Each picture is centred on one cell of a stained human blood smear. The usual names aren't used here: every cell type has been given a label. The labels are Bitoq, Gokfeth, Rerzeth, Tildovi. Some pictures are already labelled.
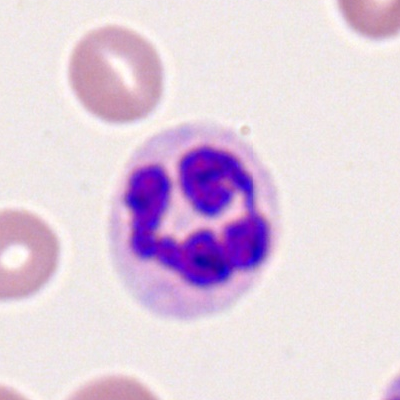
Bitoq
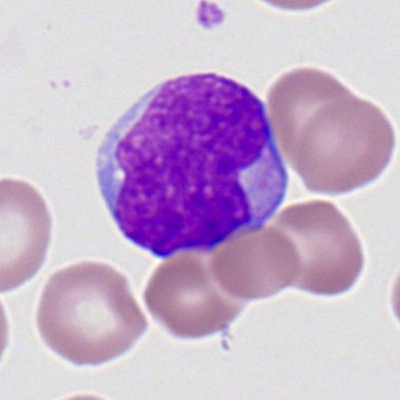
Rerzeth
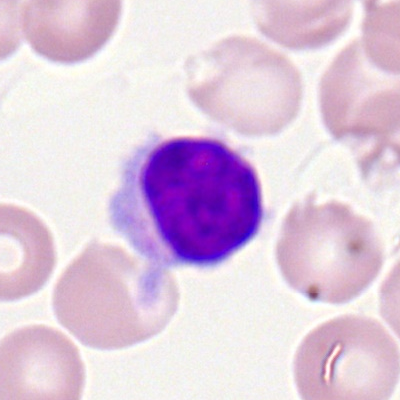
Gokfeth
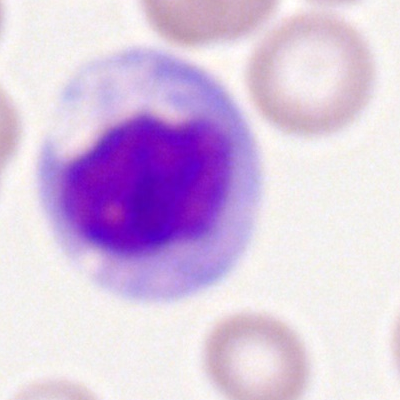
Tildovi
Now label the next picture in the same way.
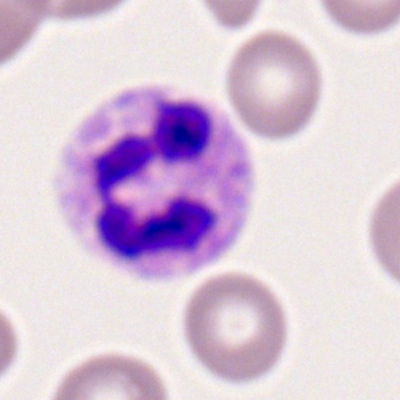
Bitoq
